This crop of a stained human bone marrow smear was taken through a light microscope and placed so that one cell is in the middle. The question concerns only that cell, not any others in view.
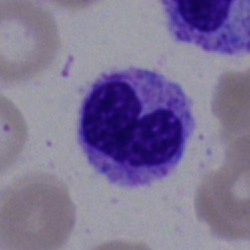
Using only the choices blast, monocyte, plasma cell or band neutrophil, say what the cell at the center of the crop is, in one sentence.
Within this crop, a band neutrophil occupies the central position.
